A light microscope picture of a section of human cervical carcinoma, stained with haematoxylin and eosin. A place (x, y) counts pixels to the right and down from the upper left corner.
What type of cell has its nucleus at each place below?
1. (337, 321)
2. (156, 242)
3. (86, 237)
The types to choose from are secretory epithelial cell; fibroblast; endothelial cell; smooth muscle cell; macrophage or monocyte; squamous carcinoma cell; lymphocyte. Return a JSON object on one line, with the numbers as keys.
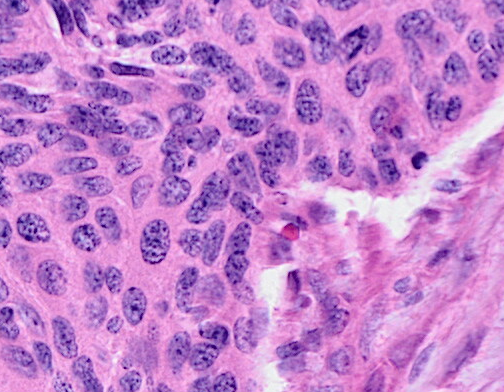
{"1": "endothelial cell", "2": "squamous carcinoma cell", "3": "squamous carcinoma cell"}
